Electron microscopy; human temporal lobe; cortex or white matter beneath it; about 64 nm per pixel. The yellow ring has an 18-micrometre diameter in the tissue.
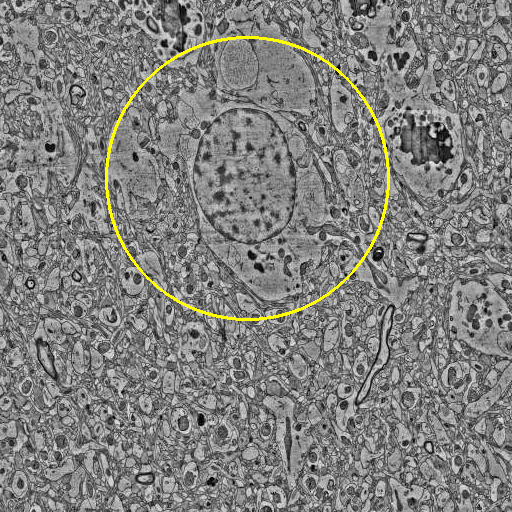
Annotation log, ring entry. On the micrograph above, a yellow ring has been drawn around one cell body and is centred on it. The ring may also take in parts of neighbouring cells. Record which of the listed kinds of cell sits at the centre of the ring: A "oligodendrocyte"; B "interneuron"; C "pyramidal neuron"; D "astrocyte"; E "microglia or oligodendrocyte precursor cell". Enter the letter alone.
D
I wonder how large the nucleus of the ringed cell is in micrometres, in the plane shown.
The nucleus comes to roughly 9 by 6 micrometres in this plane.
